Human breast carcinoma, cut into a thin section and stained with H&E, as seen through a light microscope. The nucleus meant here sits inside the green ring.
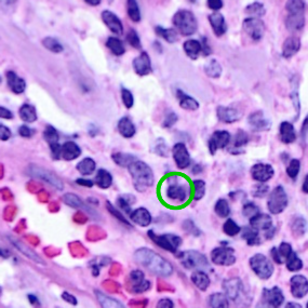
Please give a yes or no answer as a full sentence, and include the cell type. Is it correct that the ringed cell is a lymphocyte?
Yes, the identification of the ringed cell as a lymphocyte stands.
